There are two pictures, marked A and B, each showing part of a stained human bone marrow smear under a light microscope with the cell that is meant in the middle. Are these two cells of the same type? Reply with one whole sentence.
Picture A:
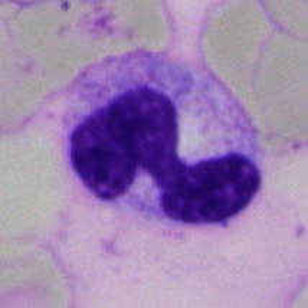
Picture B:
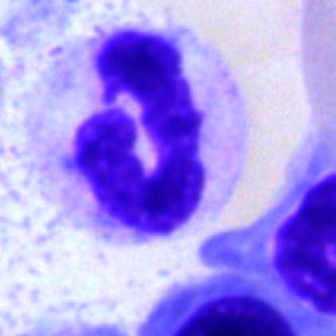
Yes, the two pictures both show segmented neutrophils.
